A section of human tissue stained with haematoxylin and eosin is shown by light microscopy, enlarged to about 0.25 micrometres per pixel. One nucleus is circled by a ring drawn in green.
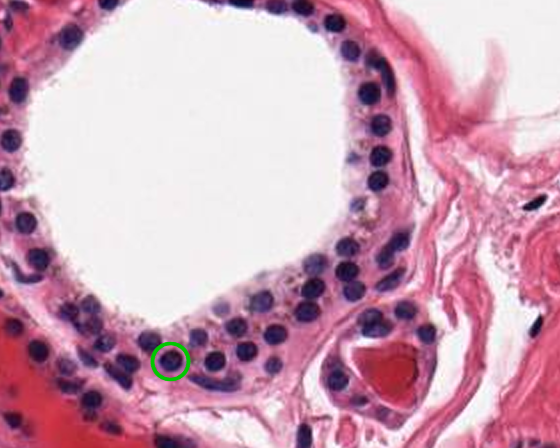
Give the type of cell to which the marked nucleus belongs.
thyroid follicular cell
